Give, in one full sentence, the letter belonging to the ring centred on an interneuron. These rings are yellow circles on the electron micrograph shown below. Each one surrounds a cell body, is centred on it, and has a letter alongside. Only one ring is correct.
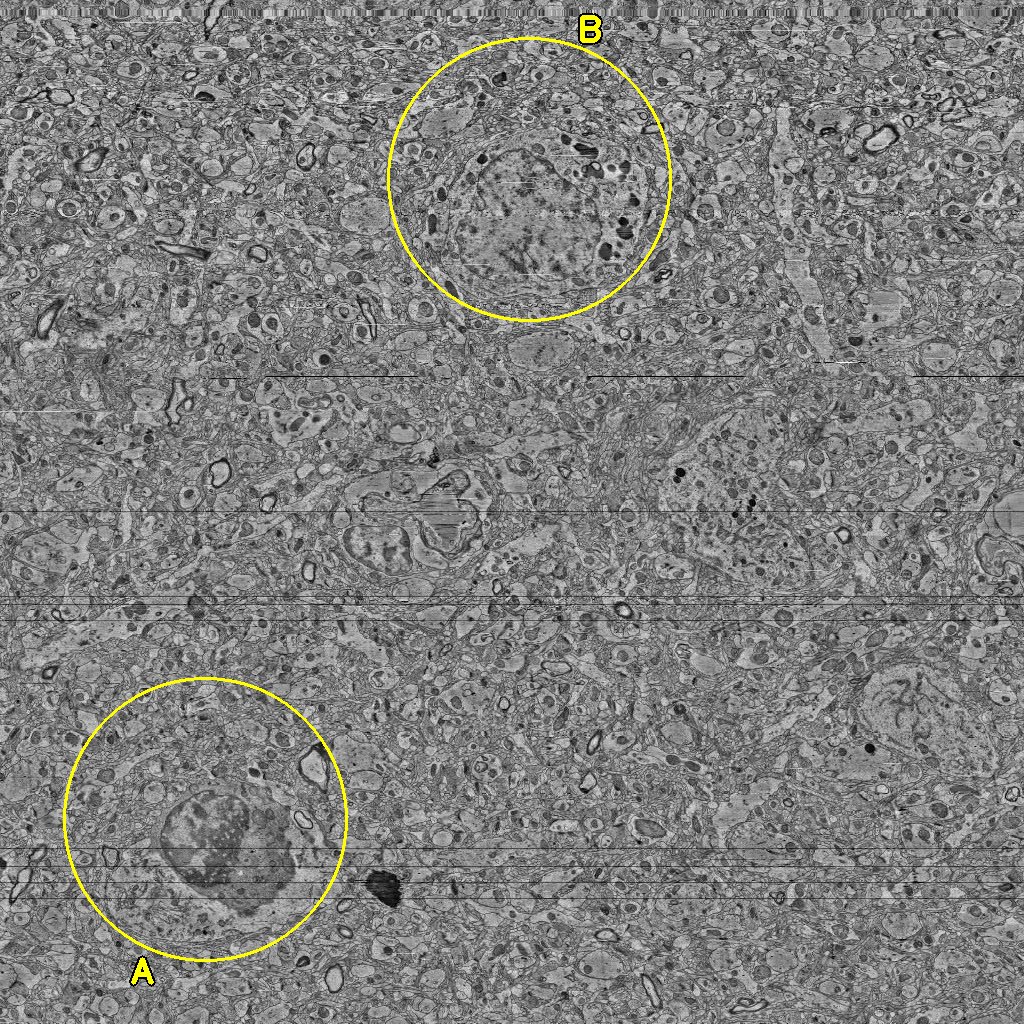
My answer is B, the ring centred on the cell asked for.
